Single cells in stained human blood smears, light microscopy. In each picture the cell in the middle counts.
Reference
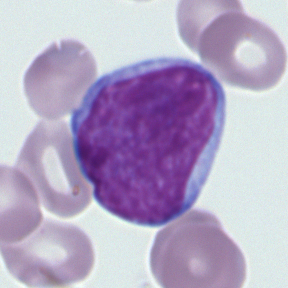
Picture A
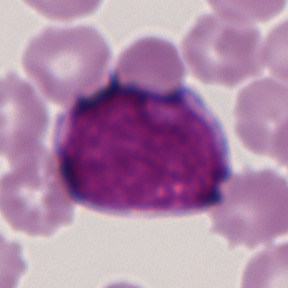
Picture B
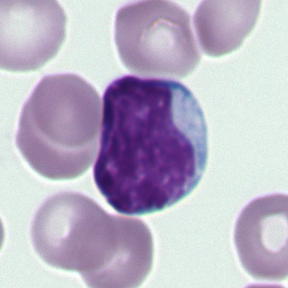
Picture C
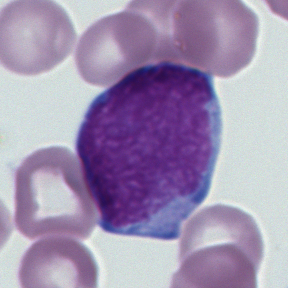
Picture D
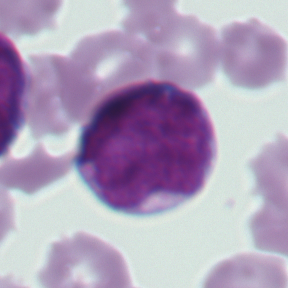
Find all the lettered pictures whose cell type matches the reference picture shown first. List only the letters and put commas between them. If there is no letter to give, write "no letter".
A, B, C, D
